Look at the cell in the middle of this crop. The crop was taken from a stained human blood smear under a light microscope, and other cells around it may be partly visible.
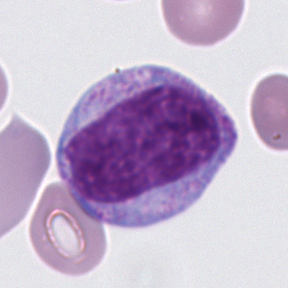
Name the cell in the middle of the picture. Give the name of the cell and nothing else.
atypical promyelocyte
